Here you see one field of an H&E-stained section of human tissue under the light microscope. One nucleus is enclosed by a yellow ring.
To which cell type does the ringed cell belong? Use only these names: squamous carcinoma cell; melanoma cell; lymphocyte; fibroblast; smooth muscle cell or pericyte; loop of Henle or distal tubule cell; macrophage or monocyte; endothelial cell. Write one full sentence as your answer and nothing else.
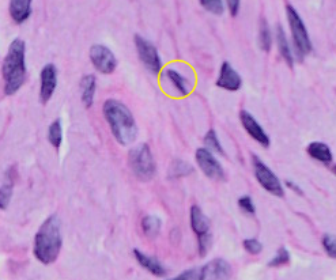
In this section, the ringed cell is a fibroblast.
